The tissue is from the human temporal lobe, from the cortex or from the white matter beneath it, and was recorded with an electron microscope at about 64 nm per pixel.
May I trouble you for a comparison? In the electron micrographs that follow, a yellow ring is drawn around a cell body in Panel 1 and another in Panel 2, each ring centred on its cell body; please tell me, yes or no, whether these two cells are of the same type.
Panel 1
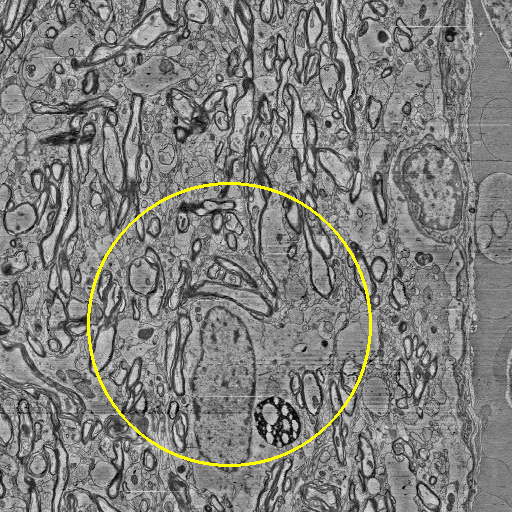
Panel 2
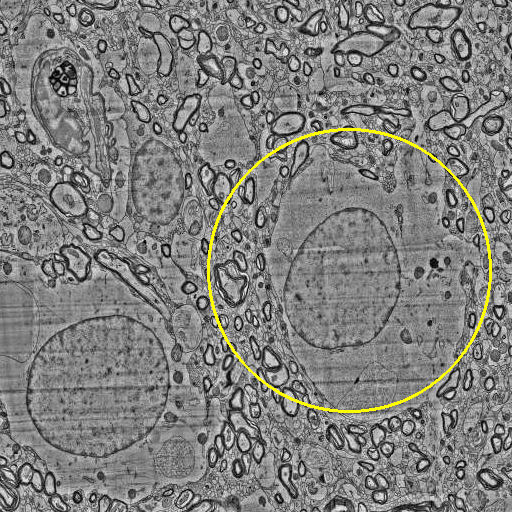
yes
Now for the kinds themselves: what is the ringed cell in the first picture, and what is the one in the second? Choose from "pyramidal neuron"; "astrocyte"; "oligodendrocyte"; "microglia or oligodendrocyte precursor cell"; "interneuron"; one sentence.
Each of the two pictures has an astrocyte at the ring centre.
